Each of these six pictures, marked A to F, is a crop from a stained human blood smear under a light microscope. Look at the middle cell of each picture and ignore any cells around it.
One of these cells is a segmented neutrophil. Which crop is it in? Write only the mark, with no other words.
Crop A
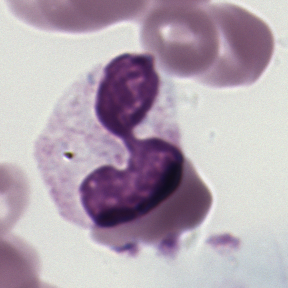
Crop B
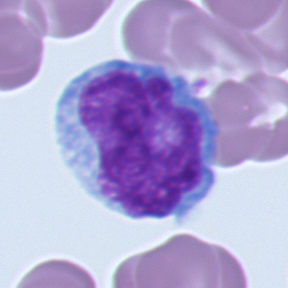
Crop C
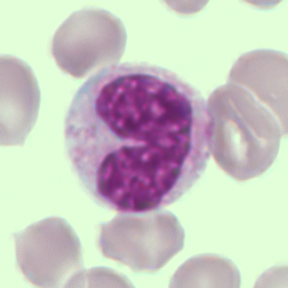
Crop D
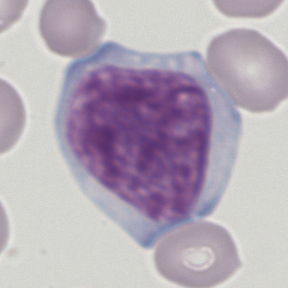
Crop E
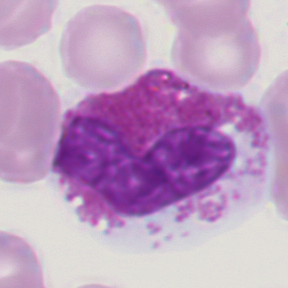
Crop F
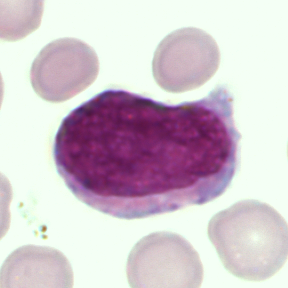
A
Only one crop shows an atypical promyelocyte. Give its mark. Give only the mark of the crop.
F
